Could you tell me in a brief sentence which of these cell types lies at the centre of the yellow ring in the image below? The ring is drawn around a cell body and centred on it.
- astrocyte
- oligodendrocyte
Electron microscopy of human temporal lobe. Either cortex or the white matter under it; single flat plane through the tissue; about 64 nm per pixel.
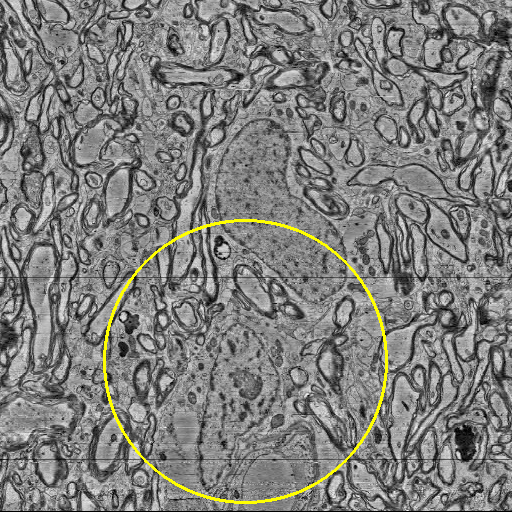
The cell centred in the ring is an astrocyte.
